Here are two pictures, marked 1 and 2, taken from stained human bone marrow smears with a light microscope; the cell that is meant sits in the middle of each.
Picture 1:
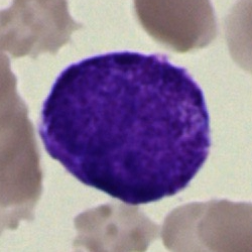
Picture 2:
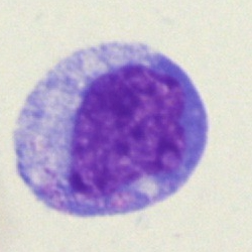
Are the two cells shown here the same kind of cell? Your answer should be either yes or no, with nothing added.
yes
